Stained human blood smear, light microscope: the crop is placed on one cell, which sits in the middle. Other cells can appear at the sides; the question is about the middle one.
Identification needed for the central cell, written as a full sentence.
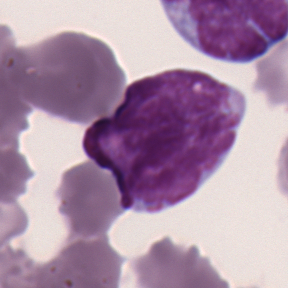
The middle of this crop is occupied by a blast.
